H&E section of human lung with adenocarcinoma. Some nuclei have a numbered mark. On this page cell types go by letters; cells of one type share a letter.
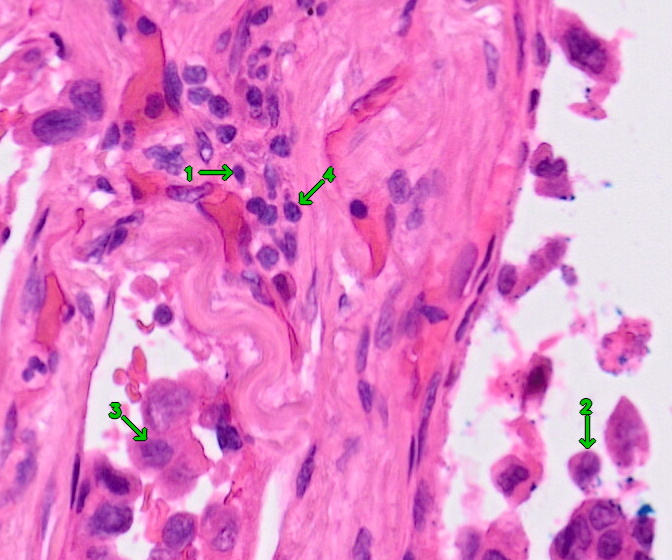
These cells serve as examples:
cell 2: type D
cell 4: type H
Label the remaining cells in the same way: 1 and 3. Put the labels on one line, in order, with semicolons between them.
type H; type D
